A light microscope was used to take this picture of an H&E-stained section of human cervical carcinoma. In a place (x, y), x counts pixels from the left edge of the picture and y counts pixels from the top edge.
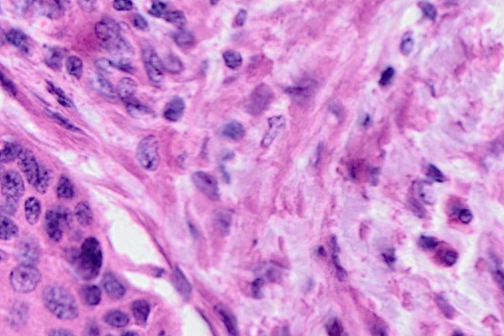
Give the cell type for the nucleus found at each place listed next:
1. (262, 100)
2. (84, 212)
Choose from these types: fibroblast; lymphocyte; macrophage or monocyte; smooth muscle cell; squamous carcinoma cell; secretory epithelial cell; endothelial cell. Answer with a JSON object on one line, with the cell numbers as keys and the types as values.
{"1": "fibroblast", "2": "squamous carcinoma cell"}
